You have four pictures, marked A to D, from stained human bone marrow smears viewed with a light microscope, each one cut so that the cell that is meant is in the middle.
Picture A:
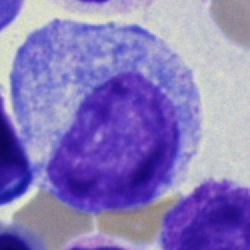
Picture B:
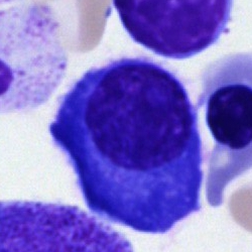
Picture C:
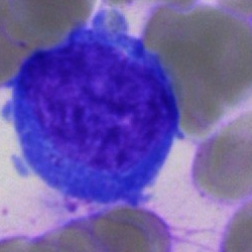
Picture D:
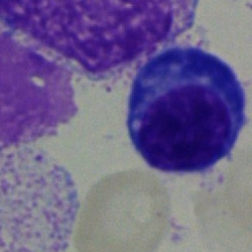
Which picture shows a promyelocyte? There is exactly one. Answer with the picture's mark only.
A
